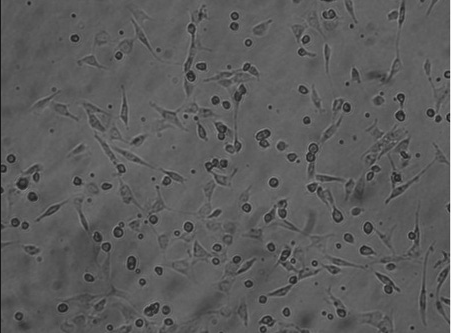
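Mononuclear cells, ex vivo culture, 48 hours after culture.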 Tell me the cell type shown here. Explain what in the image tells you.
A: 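Many elongated cells with tapering ends lie flat on the dish. Small round refractile cells are scattered among the elongated ones. The answer: spindle cells.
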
